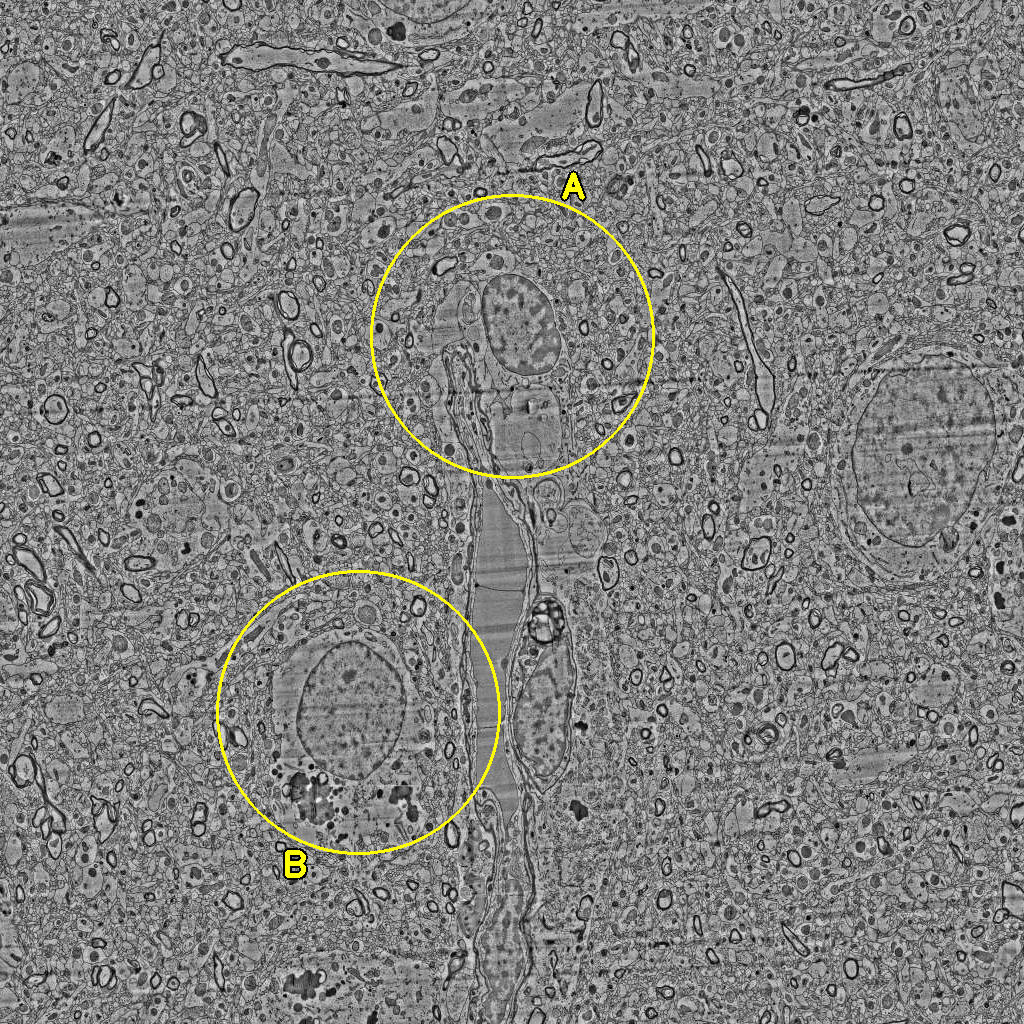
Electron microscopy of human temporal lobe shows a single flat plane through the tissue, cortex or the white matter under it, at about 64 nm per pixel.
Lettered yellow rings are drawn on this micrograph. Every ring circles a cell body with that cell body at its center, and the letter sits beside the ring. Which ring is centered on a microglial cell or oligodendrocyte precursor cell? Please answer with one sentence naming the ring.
Ring A has it at its center.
